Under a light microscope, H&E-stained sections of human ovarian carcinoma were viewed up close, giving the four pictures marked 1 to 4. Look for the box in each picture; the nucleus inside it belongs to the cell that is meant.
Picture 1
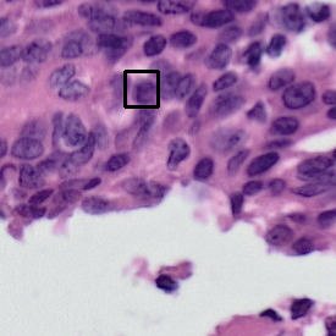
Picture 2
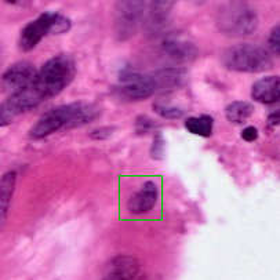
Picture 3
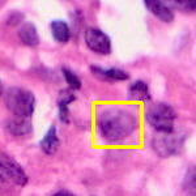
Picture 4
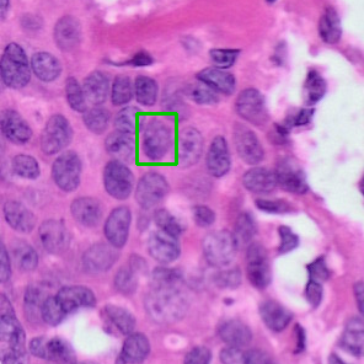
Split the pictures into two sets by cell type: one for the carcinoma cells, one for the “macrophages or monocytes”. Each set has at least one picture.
1: carcinoma cell
2: macrophage or monocyte
3: carcinoma cell
4: carcinoma cell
